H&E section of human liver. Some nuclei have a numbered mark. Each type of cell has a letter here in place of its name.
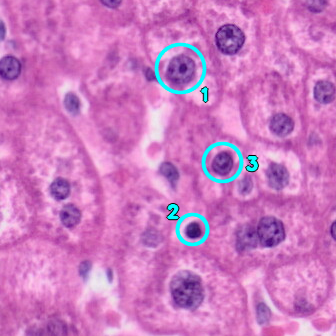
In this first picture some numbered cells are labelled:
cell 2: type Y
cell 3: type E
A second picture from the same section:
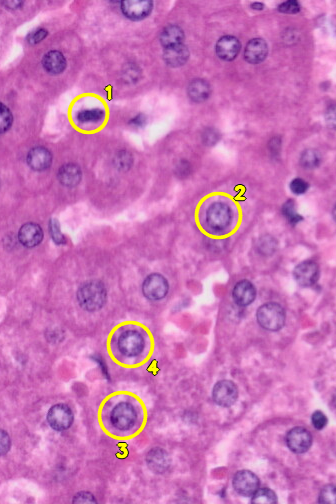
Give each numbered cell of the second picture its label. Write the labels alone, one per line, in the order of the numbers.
type Y
type E
type E
type E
